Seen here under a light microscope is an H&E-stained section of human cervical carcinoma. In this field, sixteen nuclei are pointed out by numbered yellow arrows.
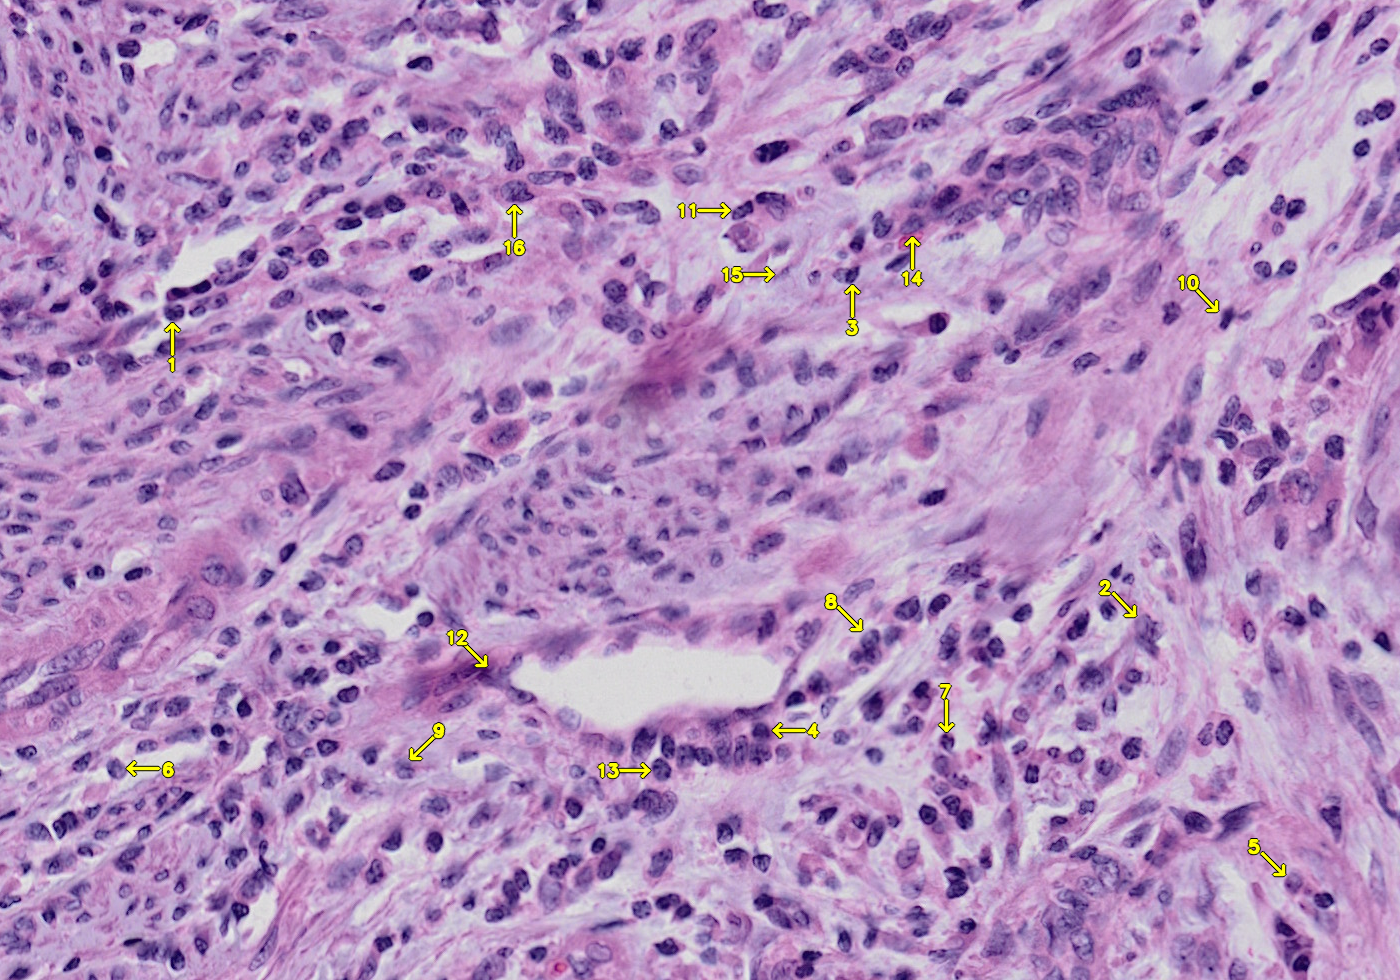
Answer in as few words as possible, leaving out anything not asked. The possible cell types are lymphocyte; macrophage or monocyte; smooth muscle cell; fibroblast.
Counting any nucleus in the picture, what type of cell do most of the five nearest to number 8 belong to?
lymphocyte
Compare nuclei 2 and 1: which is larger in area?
2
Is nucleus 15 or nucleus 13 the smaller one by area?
15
